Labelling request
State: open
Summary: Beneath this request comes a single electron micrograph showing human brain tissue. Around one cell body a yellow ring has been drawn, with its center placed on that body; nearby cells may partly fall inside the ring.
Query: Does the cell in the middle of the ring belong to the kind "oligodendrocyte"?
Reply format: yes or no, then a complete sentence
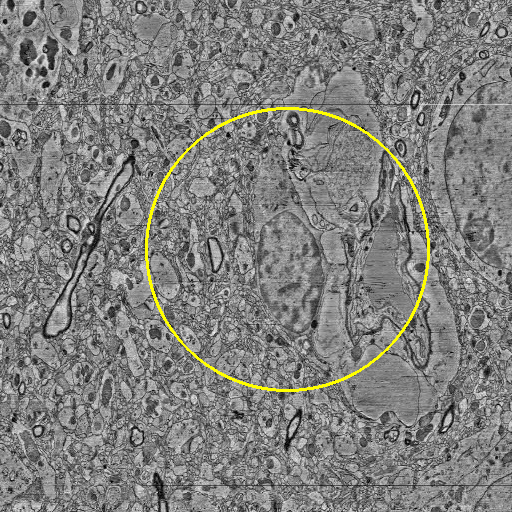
Yes, the cell sitting at the center of the ring in this picture is of that kind.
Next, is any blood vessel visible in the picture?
Yes, the image shows a blood vessel.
